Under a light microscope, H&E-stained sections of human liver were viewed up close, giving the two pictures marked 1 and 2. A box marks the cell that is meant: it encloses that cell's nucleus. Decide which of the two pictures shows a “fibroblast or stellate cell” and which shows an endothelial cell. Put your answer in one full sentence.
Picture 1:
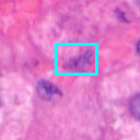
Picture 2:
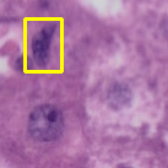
In picture 1 the cell is an endothelial cell; in picture 2, a “fibroblast or stellate cell”.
